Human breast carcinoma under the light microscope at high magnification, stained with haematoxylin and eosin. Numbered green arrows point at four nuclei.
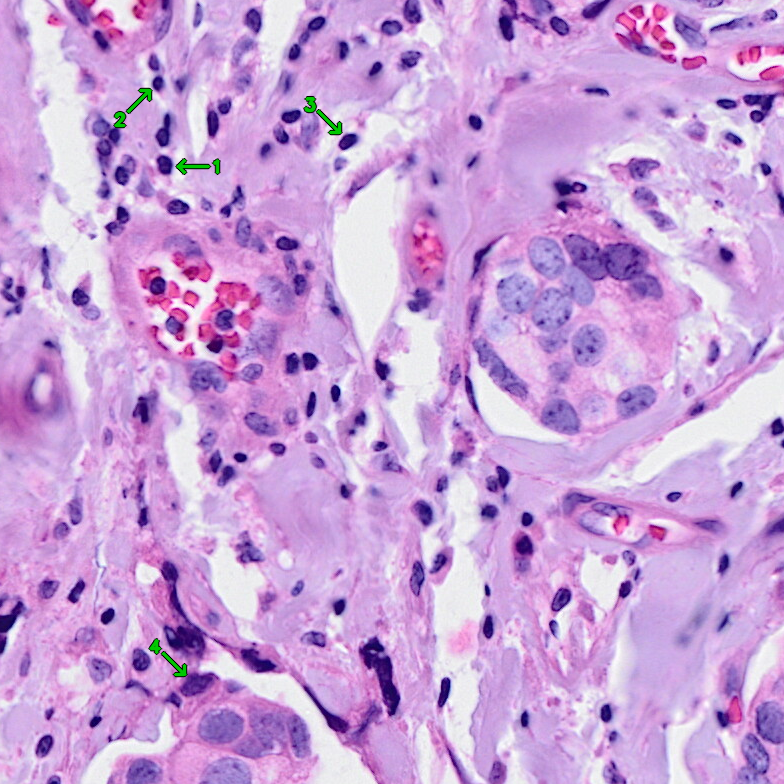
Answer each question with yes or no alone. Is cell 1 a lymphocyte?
yes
